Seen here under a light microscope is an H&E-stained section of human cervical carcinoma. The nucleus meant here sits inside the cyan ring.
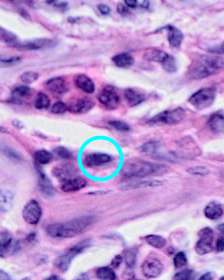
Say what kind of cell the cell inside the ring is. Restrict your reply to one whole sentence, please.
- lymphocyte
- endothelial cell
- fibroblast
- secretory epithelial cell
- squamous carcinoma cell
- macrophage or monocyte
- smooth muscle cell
Assigned to a cell type, the cell inside the ring is a lymphocyte.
